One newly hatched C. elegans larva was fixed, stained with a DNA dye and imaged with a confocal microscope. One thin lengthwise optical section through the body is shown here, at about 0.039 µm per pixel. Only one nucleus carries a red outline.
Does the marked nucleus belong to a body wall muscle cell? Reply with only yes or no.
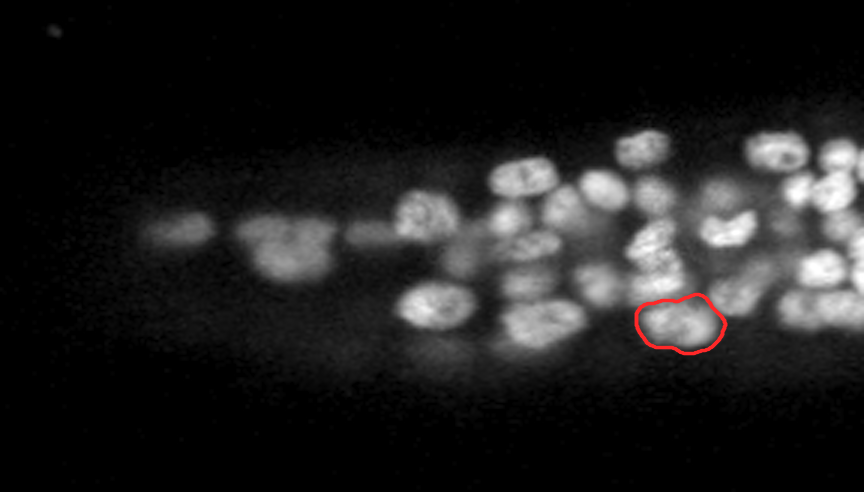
yes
